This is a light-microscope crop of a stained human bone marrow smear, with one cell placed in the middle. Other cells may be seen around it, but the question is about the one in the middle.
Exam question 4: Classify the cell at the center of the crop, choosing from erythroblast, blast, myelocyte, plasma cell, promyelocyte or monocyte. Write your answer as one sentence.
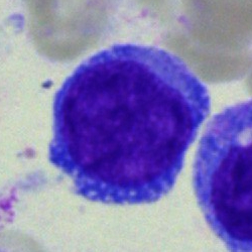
The centered cell in this crop is a blast.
